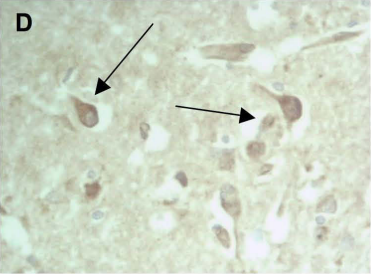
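Here in damaged brain tissue the large cell bodies of neurones are seen with brown cytoplasm. Their bodies are rounded to angular, and some taper into a thick process, with a paler round nucleus showing inside the brown cytoplasm. Many of these cells sit within clear spaces in the surrounding tissue. The background between them is pale and finely granular. Several smaller cells and elongated profiles are also scattered in the field.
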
